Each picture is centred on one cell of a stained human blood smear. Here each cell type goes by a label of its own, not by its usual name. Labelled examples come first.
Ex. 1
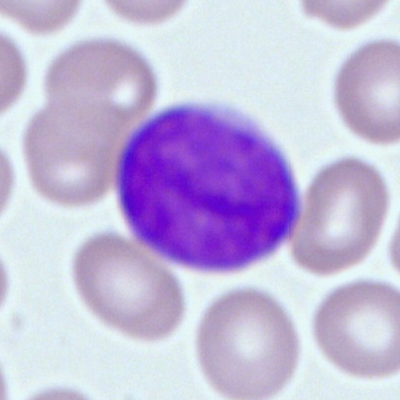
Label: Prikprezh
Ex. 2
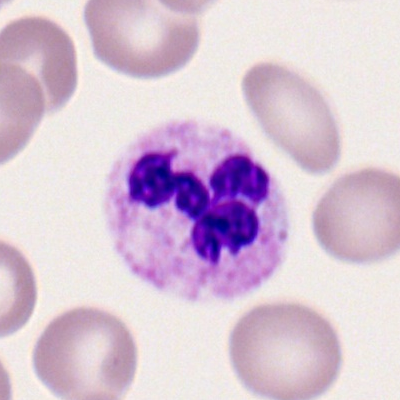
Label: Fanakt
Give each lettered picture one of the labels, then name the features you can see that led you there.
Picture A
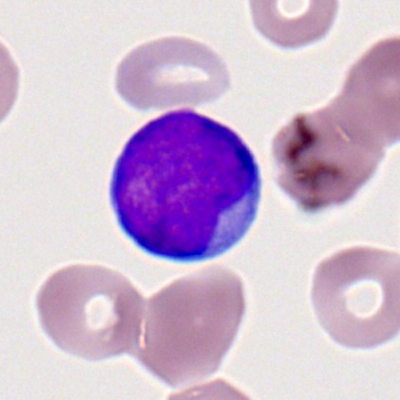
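Label: Prikprezh. The cytoplasm is scant, seen mainly as a thin crescent at the lower right.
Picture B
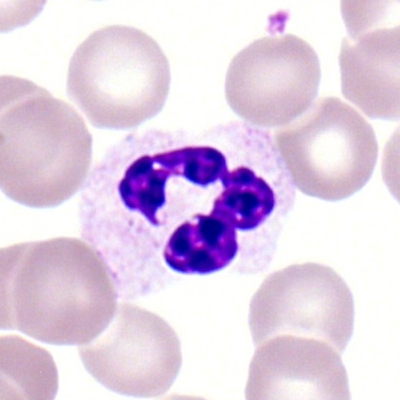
Label: Fanakt. The cytoplasm is plentiful and pale pinkish-lilac.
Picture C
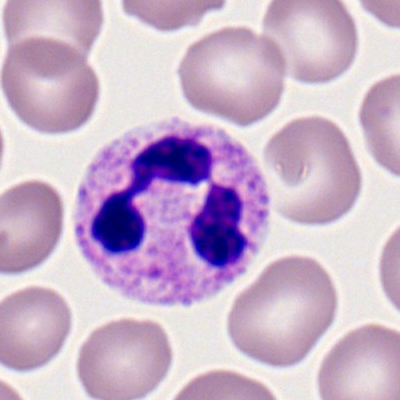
Label: Fanakt. The cytoplasm is abundant and pale pinkish-lilac.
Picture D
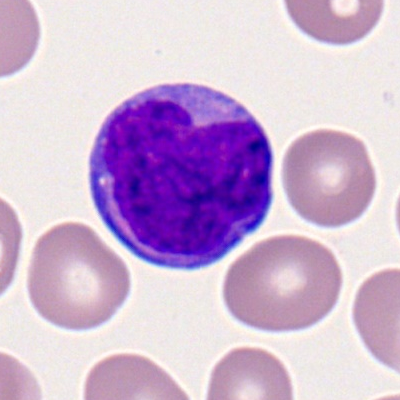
Label: Prikprezh. The nucleus fills most of the cell.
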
